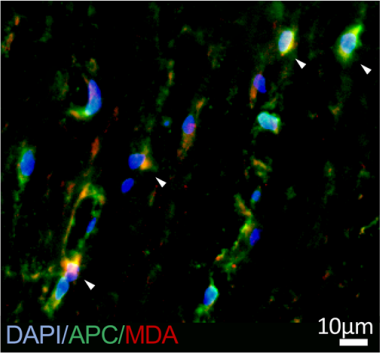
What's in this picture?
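The cells have round to oval blue nuclei wrapped in a thin rim of green cytoplasm, and several show orange to yellow patches where red overlaps the green. They are arranged in loose rows along elongated, wavy green strands that run across the field, following the fibre direction. Between the cells the background is dark, with fine green threads connecting them.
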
